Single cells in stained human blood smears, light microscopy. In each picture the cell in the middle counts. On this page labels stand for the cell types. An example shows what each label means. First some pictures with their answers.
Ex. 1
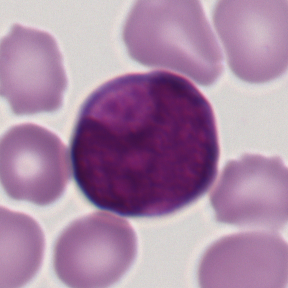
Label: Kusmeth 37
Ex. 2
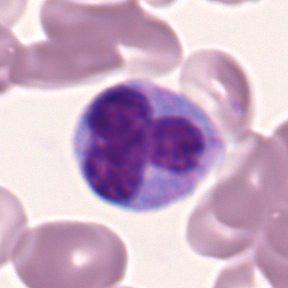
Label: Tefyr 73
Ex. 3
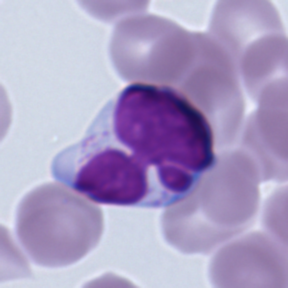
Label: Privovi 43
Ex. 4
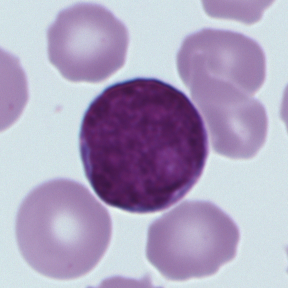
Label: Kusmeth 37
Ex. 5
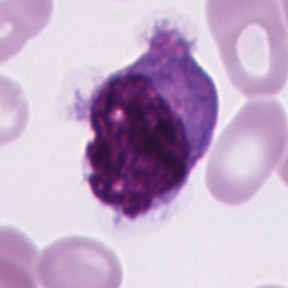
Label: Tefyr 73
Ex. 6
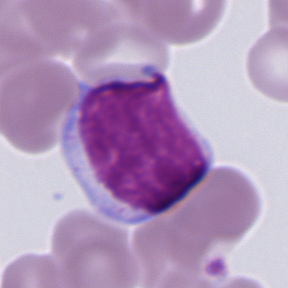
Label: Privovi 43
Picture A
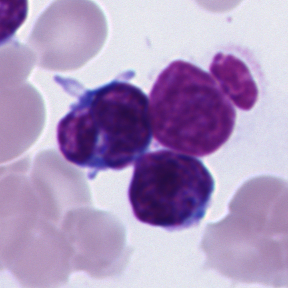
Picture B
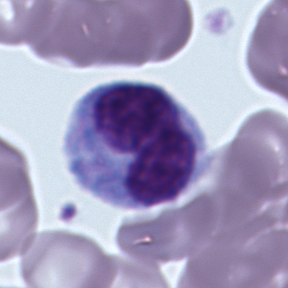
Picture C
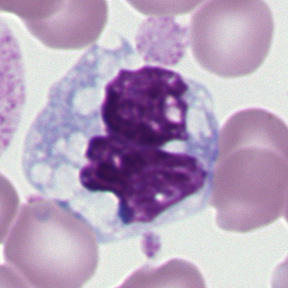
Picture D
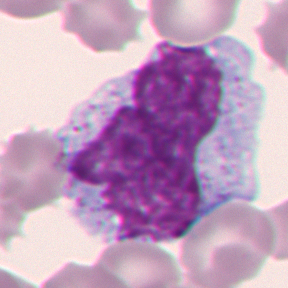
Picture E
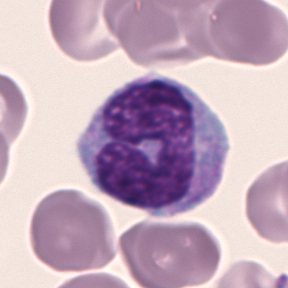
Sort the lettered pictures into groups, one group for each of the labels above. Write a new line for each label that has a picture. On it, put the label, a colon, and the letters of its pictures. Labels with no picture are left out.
Kusmeth 37: A
Tefyr 73: B, C, D, E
